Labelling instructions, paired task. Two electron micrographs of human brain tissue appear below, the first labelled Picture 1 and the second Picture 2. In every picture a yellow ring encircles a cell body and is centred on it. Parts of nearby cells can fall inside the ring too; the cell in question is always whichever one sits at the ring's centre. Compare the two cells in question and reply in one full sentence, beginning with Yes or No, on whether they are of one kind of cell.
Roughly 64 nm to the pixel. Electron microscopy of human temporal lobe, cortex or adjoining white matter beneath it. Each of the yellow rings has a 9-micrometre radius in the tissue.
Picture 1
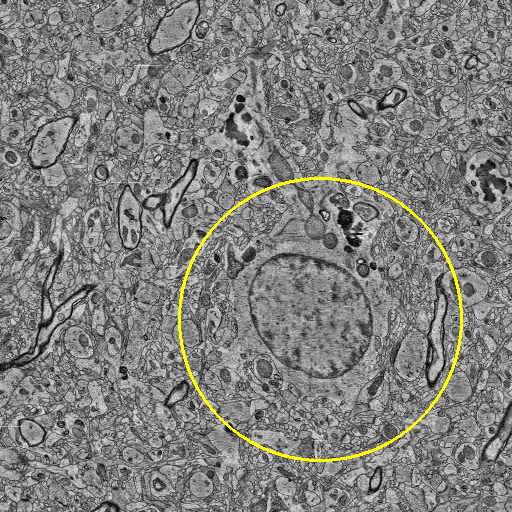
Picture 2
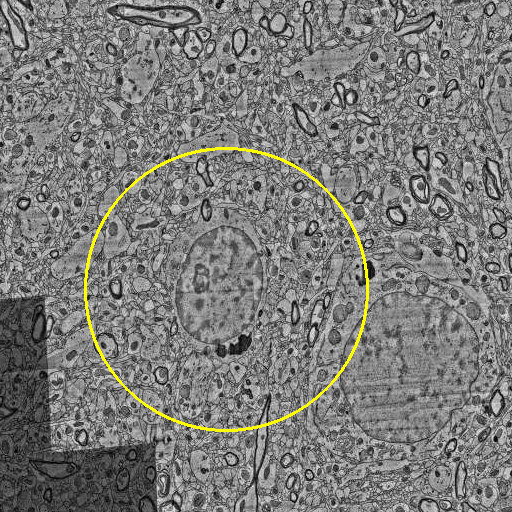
No, the two cells at the ring centres in Picture 1 and Picture 2 are of two kinds.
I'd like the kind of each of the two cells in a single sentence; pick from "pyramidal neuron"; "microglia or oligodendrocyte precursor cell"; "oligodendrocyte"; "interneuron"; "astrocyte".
The first ring marks an astrocyte, and the second ring marks an oligodendrocyte.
